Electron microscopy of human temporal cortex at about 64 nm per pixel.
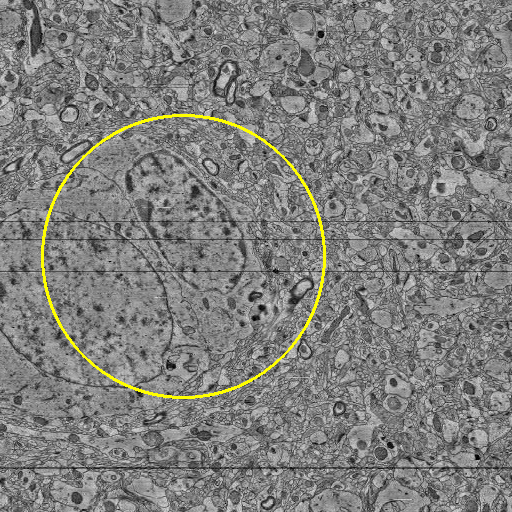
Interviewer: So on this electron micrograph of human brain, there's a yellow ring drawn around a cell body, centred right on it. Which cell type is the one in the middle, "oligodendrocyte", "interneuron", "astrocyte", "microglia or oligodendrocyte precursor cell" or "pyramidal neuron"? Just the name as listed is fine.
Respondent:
microglia or oligodendrocyte precursor cell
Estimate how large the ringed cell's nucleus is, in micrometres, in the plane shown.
About 10 by 5 micrometres, the nucleus being clearly longer than it is wide in this plane.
